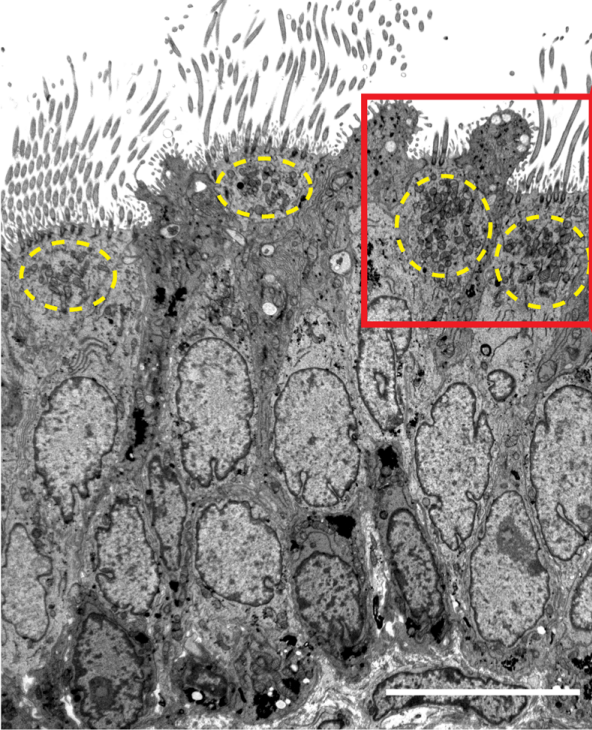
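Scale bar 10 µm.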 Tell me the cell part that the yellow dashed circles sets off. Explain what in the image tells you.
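Each circle holds a cluster of small round to oval dark-walled organelles. The clusters sit at the apical end of the cells, just beneath the surface projections.
Hence: mitochondria.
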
